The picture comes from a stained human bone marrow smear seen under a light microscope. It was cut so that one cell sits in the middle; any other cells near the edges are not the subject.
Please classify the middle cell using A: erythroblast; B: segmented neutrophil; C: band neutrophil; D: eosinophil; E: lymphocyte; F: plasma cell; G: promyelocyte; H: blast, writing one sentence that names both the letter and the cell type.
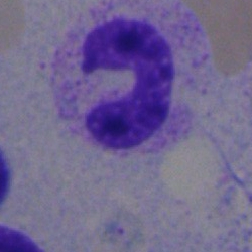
In this crop the middle cell is a band neutrophil, so option C is the correct answer.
